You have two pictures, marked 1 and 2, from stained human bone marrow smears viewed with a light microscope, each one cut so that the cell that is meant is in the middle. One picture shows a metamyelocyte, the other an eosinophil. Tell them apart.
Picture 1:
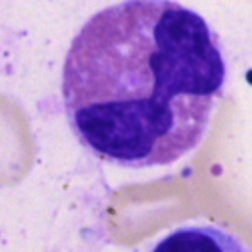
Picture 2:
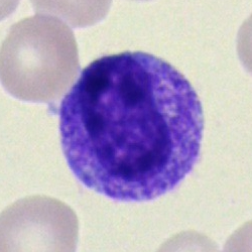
1: eosinophil
2: metamyelocyte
